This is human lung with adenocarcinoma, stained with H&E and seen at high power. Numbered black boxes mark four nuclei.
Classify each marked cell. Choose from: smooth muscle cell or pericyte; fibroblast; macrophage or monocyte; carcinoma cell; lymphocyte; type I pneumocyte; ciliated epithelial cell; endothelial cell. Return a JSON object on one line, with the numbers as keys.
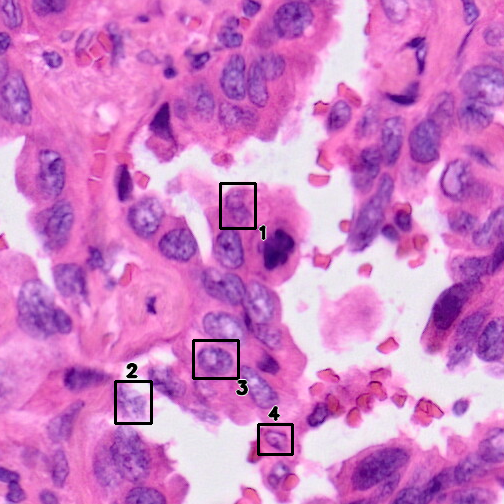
{"1": "carcinoma cell", "2": "carcinoma cell", "3": "carcinoma cell", "4": "macrophage or monocyte"}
